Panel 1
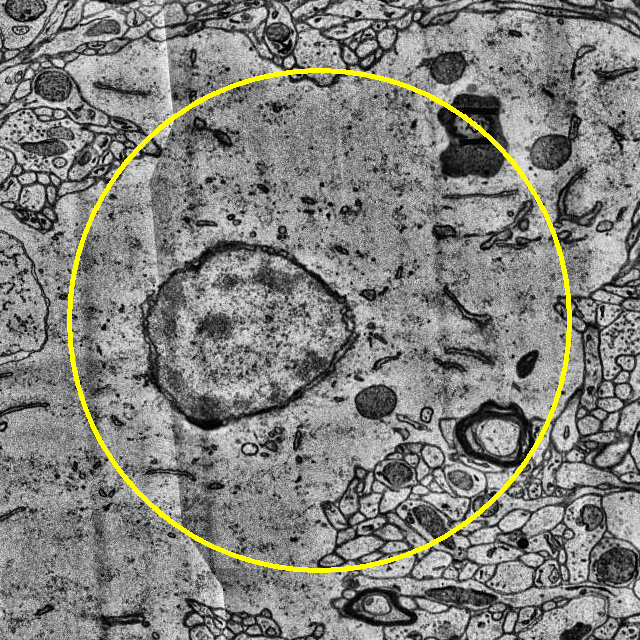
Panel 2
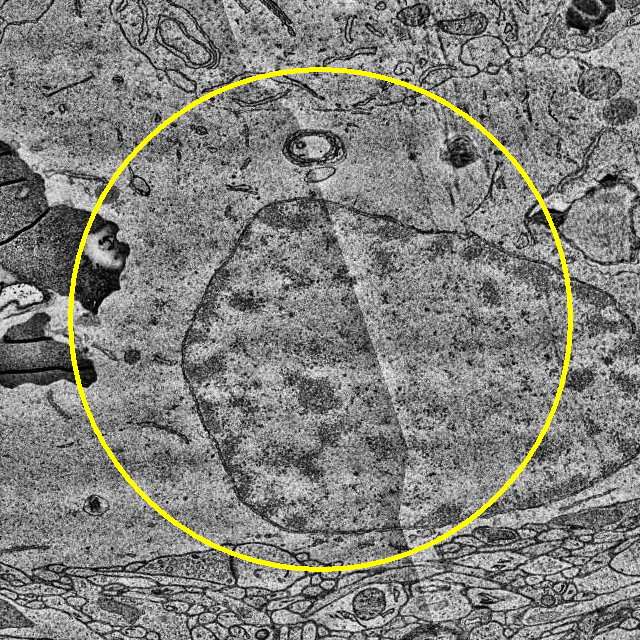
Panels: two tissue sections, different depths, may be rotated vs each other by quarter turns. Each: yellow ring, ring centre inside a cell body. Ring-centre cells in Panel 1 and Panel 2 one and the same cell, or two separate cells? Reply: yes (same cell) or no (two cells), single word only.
no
